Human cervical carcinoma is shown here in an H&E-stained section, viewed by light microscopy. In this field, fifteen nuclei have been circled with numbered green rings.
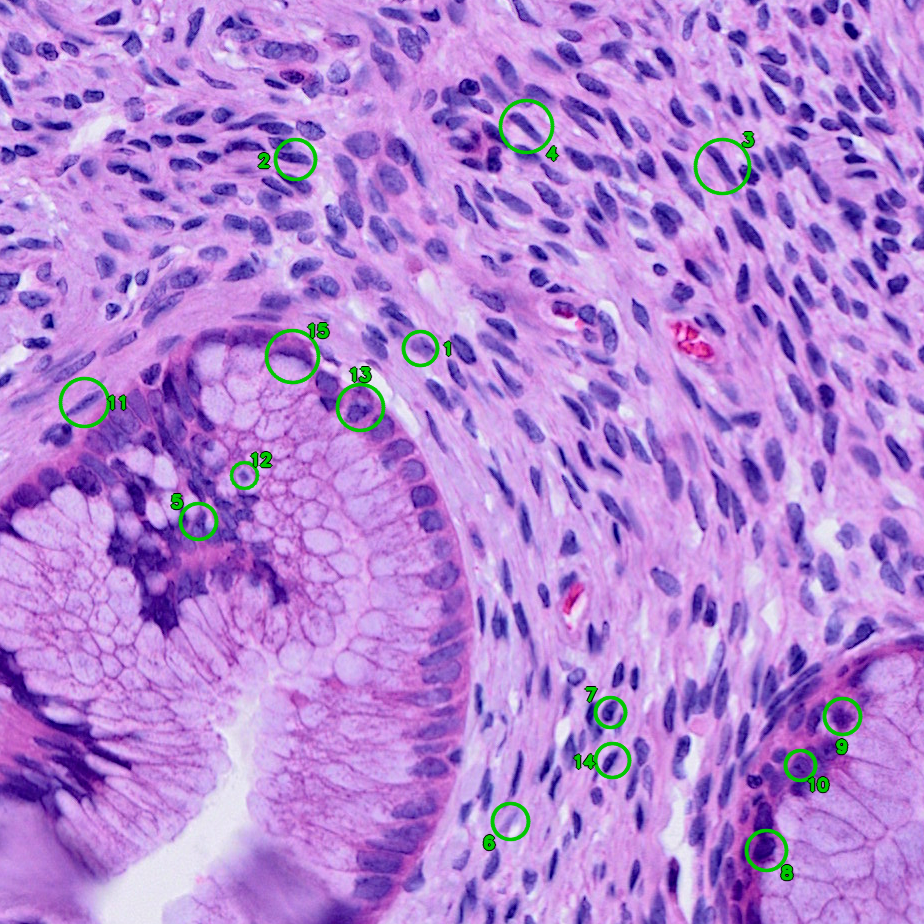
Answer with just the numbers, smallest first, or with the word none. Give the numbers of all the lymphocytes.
none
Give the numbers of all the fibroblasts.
1, 2, 3, 4, 6, 7, 11, 14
